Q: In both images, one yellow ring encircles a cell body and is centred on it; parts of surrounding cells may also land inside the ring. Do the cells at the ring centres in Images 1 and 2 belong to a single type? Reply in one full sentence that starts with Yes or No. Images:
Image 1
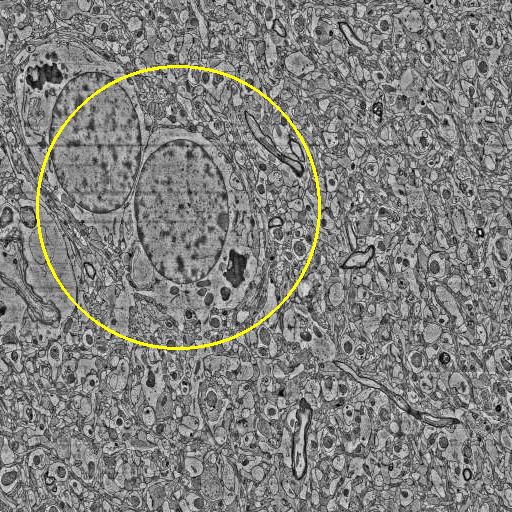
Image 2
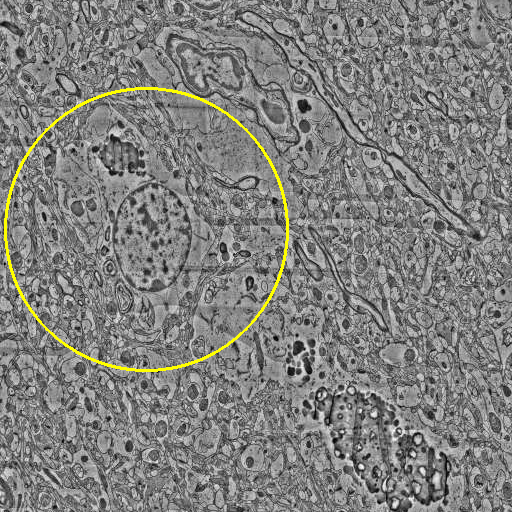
Yes, the cells at the ring centres in Images 1 and 2 are of a single type.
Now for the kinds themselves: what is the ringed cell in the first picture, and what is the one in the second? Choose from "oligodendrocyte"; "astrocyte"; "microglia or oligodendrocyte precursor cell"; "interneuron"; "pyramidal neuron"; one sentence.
Each of the two rings is centred on an astrocyte.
